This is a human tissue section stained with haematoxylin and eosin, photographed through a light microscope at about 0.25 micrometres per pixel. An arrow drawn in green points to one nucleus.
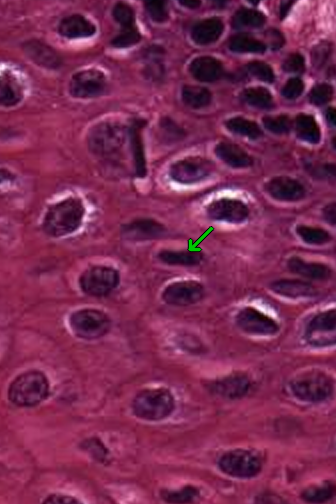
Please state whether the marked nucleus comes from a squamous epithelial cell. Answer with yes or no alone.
yes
